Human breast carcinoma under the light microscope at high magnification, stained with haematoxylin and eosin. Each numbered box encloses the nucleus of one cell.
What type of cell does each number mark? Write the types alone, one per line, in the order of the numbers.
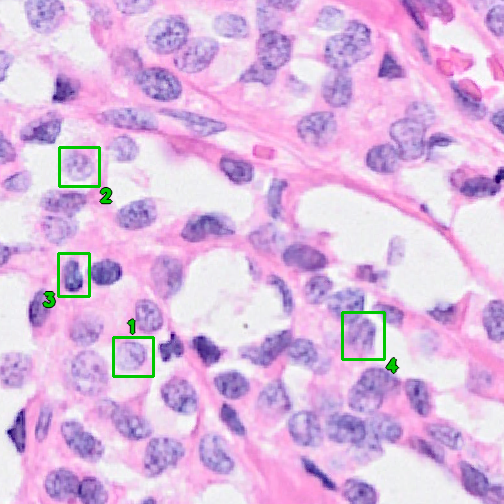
carcinoma cell
carcinoma cell
lymphocyte
carcinoma cell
